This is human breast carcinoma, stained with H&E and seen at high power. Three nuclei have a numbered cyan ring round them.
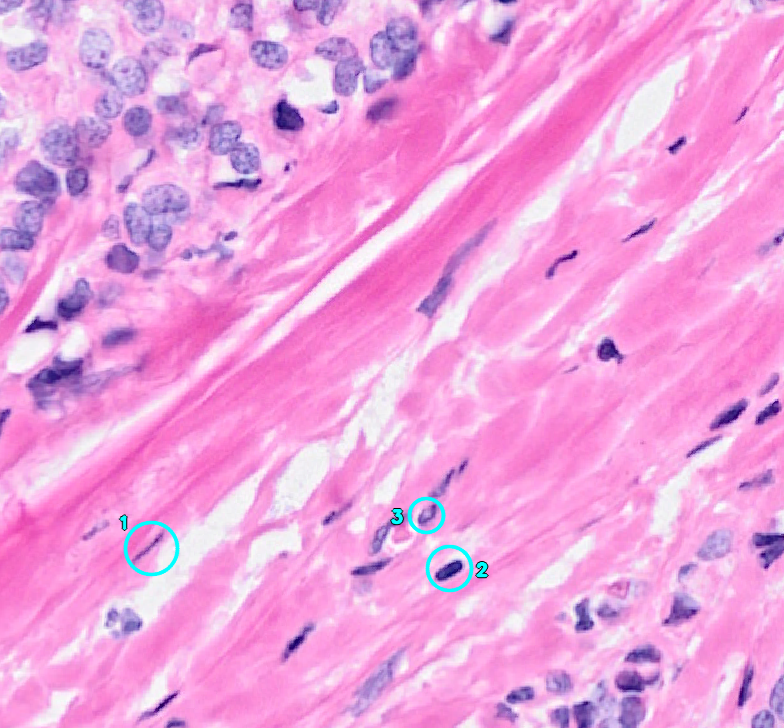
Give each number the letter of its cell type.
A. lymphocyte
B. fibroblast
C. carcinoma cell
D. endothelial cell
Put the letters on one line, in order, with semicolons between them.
B; A; D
